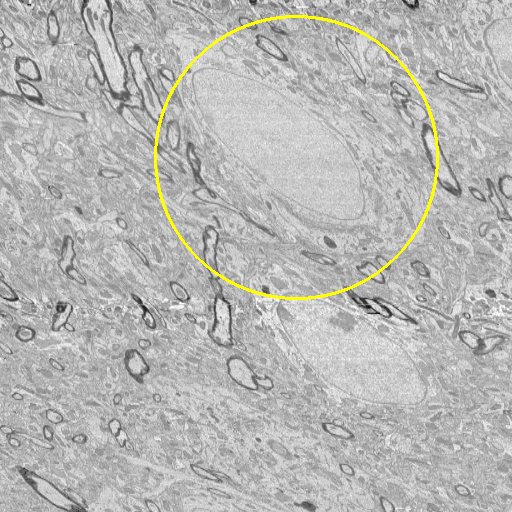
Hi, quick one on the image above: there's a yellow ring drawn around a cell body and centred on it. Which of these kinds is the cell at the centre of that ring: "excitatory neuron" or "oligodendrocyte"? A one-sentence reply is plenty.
The cell at the centre of the ring is an excitatory neuron.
